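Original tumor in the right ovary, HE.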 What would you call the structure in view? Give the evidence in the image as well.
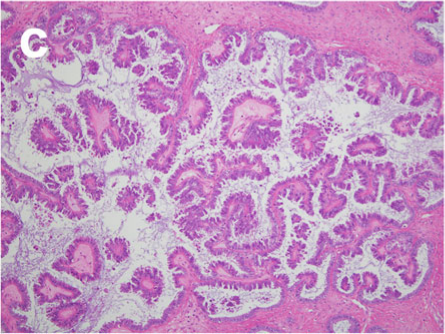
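Larger papillae branching into smaller ones. Broad stalks give off smaller and smaller branches. The branches are cut across as rounded epithelium-covered cores.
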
